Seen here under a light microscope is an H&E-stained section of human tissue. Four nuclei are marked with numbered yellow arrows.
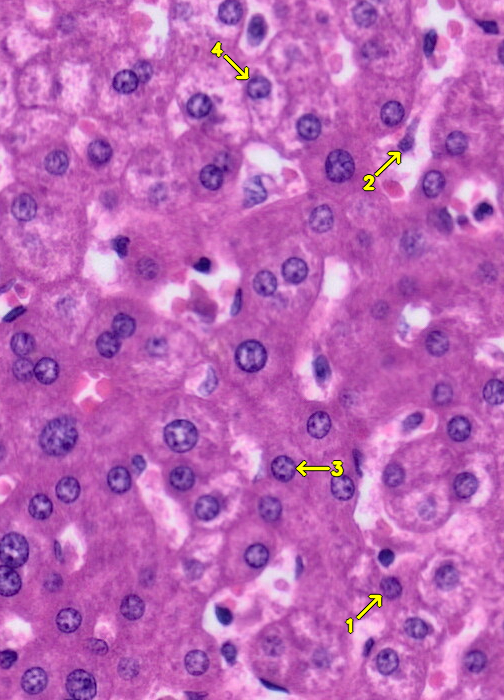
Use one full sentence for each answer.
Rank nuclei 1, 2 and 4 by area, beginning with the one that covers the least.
By area, going up from the smallest, they rank 2, 1, 4.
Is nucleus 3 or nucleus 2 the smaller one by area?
It is nucleus 2; nucleus 3 has about 2.5 times its area.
